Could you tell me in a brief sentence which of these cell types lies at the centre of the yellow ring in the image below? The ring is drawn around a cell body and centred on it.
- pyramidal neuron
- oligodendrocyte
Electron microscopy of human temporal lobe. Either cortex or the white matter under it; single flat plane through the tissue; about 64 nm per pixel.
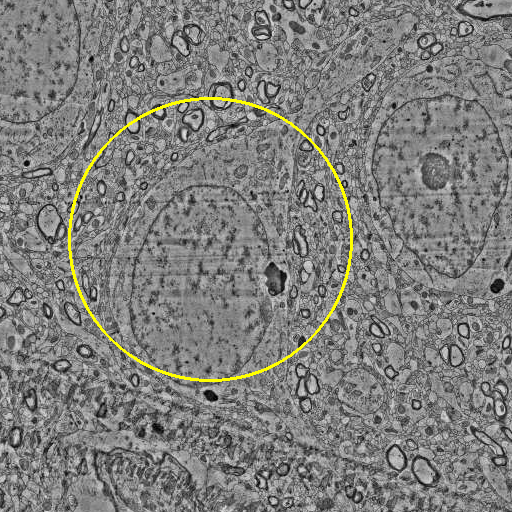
The cell centred in the ring is a pyramidal neuron.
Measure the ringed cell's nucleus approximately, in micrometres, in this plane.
In this plane, the nucleus of the cell at the centre of the ring measures about 13 by 9 micrometres.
